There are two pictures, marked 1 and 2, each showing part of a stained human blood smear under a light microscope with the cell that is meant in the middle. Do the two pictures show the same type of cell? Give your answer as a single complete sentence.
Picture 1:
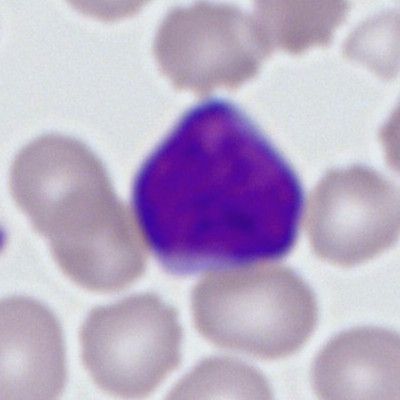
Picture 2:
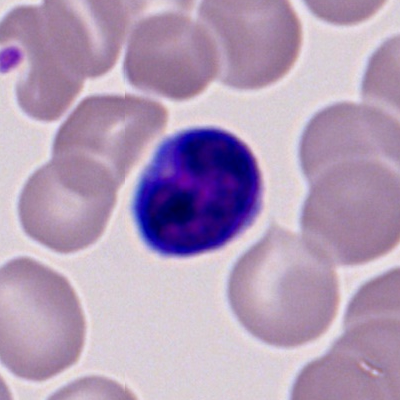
No, the types are not the same, since picture 1 shows a myeloblast and picture 2 a lymphocyte.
